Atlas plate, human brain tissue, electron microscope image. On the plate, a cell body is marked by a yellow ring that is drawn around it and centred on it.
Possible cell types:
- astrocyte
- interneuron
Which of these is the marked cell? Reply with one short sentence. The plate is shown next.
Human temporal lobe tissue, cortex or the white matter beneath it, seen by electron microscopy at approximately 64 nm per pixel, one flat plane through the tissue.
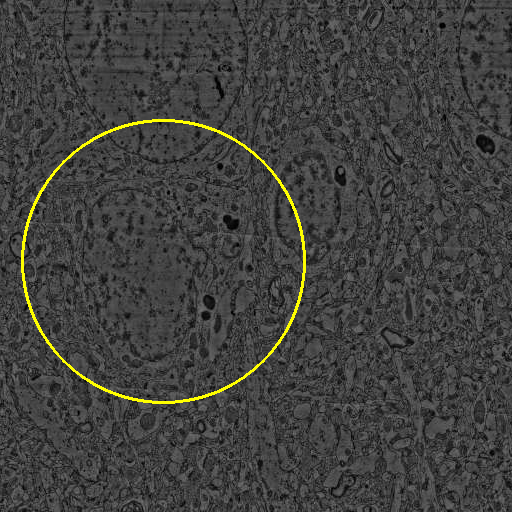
The marked cell is an interneuron.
